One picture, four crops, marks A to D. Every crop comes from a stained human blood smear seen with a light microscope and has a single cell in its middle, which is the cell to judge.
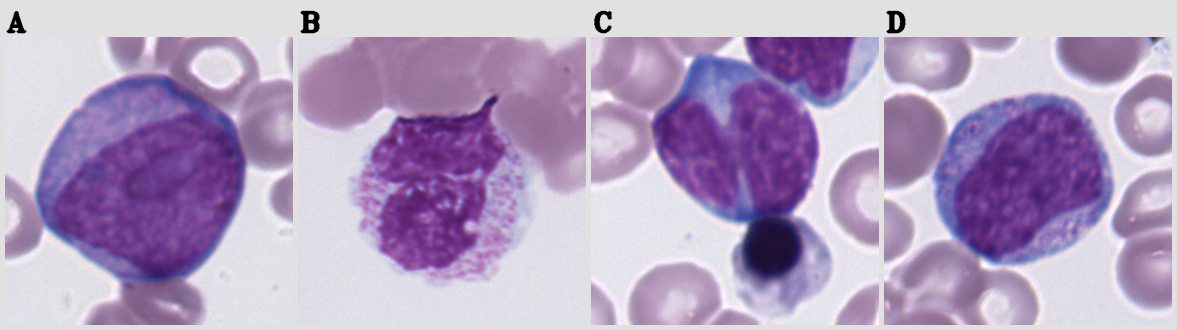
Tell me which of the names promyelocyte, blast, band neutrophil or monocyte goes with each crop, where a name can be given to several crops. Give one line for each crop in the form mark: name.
A: promyelocyte
B: band neutrophil
C: blast
D: promyelocyte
